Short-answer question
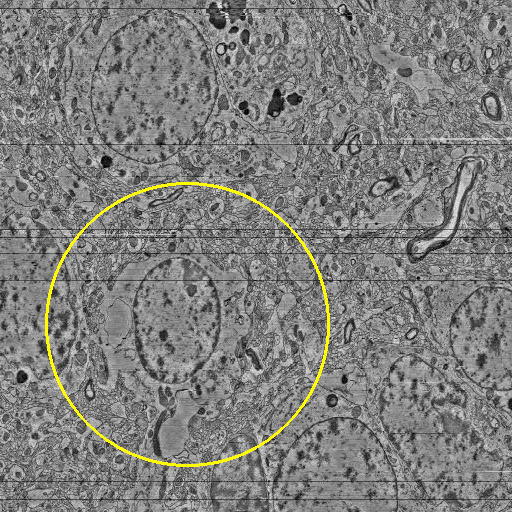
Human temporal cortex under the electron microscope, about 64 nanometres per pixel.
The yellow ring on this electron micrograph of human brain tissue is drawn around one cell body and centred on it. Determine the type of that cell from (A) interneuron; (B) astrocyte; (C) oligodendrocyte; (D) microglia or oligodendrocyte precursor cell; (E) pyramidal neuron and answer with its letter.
B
